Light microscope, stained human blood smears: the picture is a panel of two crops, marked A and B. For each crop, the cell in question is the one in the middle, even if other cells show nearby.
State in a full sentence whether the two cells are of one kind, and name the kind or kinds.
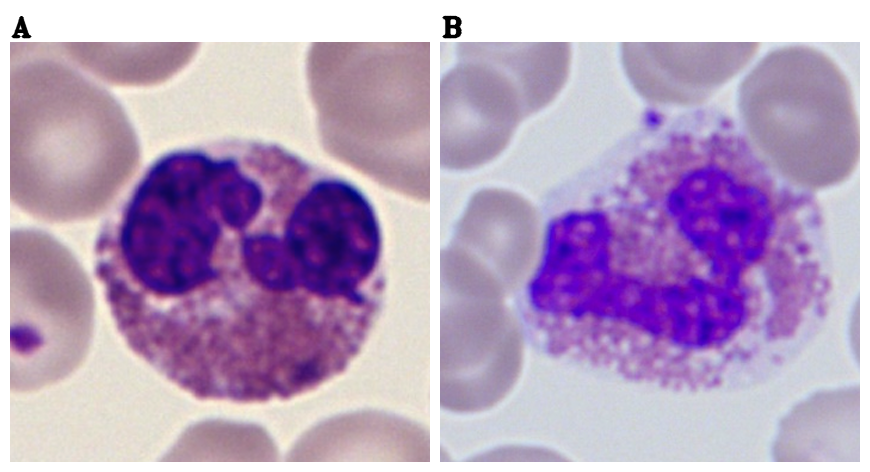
Yes, eosinophils are shown in both crops.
